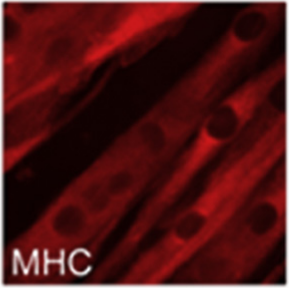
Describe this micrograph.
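The field shows long, parallel muscle tubes stained red, running diagonally across the image. Dark, unstained oval nuclei lie in rows inside the tubes, several in each tube. Dark gaps separate the neighbouring tubes. The outlines of the tubes are smooth, without bulges.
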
